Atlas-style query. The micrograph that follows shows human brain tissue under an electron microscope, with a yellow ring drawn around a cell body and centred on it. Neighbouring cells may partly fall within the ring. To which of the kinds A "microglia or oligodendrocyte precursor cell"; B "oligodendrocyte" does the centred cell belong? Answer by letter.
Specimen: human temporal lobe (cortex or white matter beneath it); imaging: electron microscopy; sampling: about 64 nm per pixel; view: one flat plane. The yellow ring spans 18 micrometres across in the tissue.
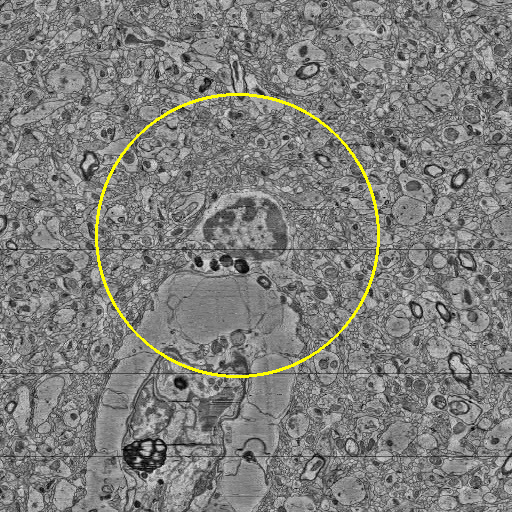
A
